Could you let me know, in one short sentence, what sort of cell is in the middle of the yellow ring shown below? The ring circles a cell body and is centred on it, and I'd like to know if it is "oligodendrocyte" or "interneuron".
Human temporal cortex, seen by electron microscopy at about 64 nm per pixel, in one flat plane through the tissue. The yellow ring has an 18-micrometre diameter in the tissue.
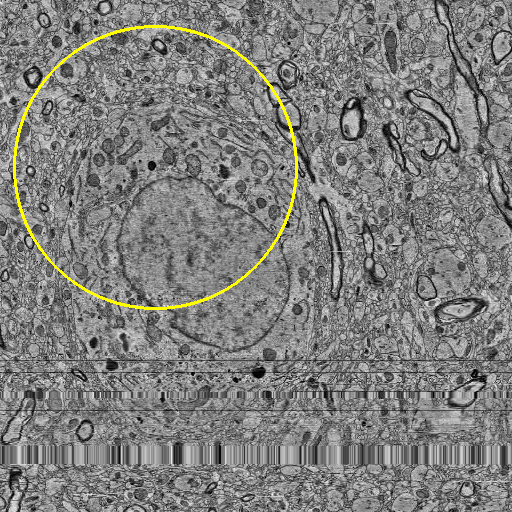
The ring circles the cell body of an interneuron.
